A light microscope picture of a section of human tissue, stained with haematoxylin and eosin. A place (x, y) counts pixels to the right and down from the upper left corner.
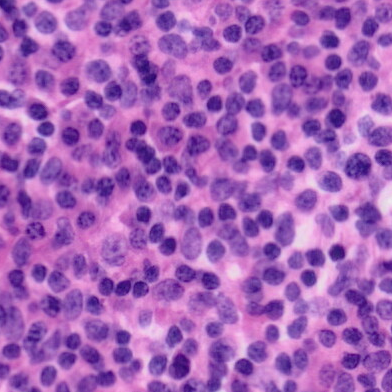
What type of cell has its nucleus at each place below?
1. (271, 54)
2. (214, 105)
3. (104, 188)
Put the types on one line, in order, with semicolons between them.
plasma cell; small lymphocyte; plasma cell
